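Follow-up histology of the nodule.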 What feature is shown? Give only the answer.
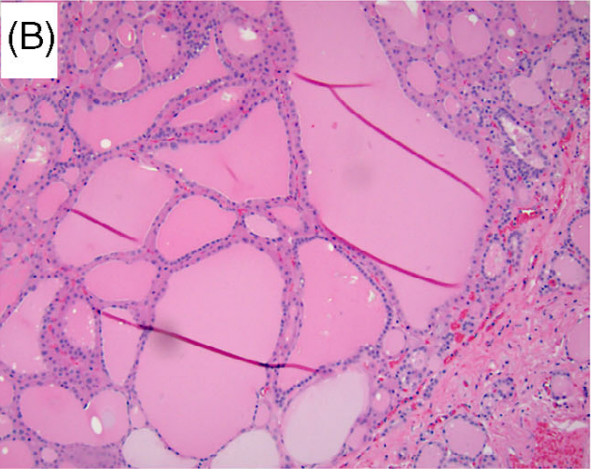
macrofollicular architecture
